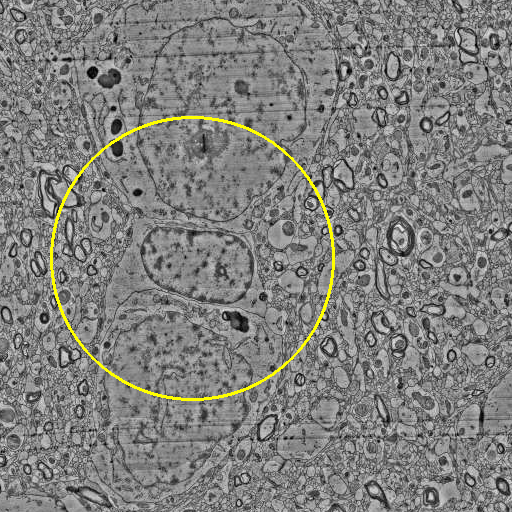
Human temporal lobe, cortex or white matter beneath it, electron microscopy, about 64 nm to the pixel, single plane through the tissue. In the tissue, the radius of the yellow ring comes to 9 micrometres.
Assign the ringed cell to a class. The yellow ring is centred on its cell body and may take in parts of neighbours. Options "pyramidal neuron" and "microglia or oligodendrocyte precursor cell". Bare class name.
microglia or oligodendrocyte precursor cell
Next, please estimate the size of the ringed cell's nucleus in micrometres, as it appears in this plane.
About 7 by 5 micrometers in this plane, so the nucleus is clearly longer than it is wide.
